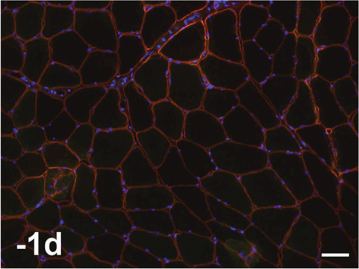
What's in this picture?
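Cross-section of skeletal muscle made of closely packed polygonal fibres of varied size, each outlined in red. Blue nuclei lie at the fibre peripheries and in the narrow spaces between fibres, with a few more gathered along a band of connective tissue near the top.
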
